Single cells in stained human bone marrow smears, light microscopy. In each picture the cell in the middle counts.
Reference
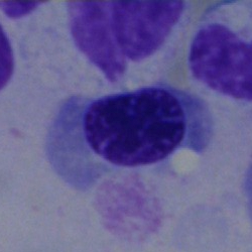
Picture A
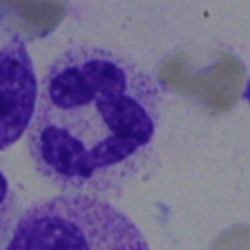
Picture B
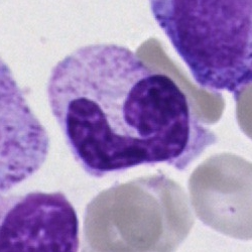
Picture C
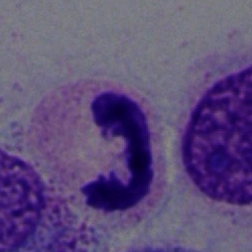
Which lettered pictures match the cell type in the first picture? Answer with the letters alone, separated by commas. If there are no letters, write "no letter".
no letter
